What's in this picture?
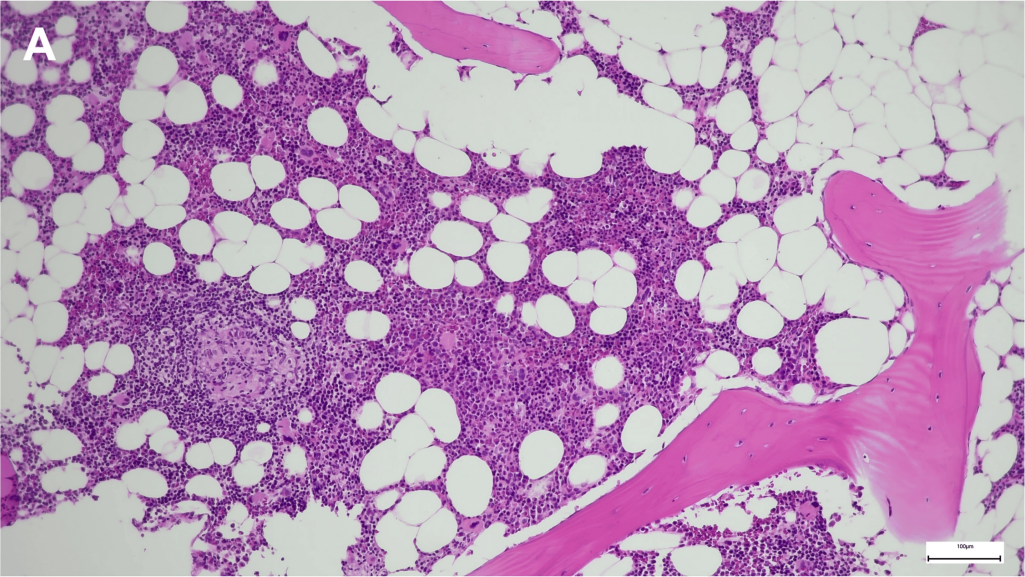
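This is a bone marrow biopsy at low power, with pink bony trabeculae, many round empty fat spaces and cellular blood-forming tissue between them. The trabeculae are smooth pink bands with small scattered lacunae holding bone cells. The cellular marrow is crowded with small round cells with dark nuclei, mixed with some larger cells. On the left a rounded, paler pink nodule of elongated cells stands out against the darker marrow. It is ringed by a cuff of densely packed small dark cells, and no dead center is seen within it.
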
